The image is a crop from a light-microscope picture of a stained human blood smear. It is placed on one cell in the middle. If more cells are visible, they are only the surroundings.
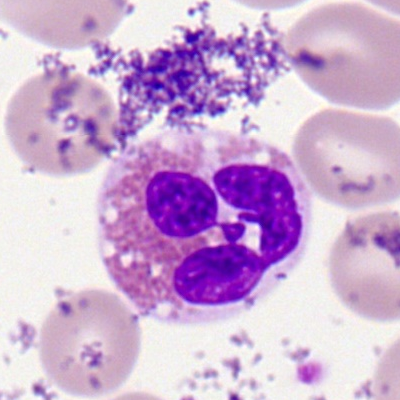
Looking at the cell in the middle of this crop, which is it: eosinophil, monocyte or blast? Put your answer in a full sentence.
The cell positioned in the middle of the field is an eosinophil.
